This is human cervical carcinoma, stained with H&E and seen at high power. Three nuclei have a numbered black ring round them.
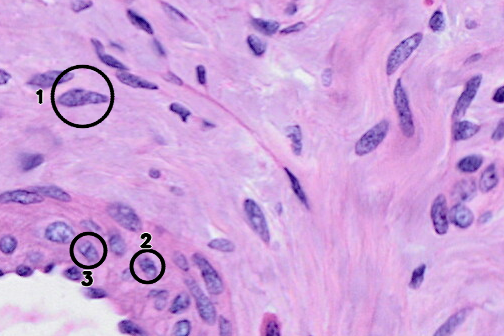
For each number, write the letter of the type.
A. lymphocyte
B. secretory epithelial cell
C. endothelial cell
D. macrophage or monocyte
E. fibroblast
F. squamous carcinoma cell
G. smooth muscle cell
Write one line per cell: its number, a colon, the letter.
1: E
2: G
3: G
